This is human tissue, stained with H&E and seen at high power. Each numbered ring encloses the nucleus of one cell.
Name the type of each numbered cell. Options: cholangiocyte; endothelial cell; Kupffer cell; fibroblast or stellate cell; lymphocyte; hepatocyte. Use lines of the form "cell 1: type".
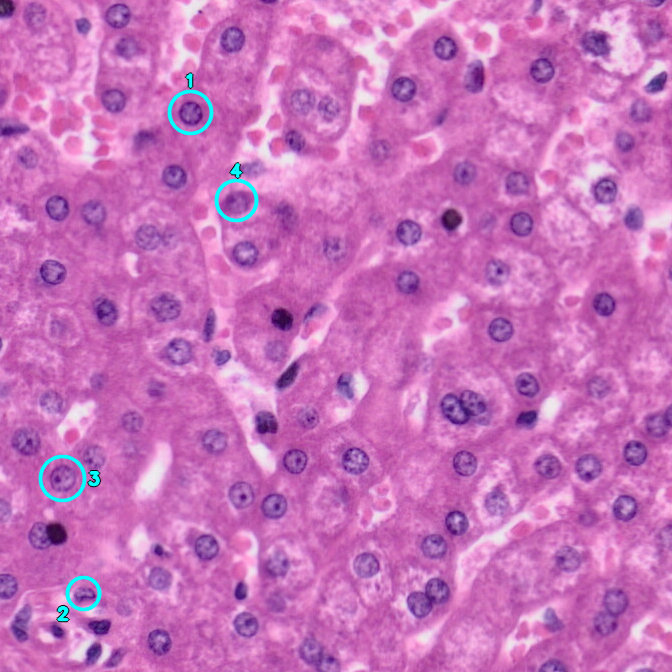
cell 1: hepatocyte
cell 2: fibroblast or stellate cell
cell 3: hepatocyte
cell 4: hepatocyte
